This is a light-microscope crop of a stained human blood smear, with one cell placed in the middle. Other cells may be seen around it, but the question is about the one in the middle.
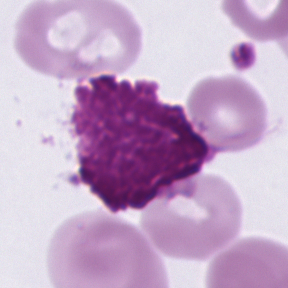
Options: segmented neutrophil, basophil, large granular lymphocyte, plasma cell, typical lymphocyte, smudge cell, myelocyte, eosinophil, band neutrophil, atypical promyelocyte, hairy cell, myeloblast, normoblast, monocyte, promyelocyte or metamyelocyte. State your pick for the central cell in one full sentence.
The middle cell in this particular crop is a smudge cell.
